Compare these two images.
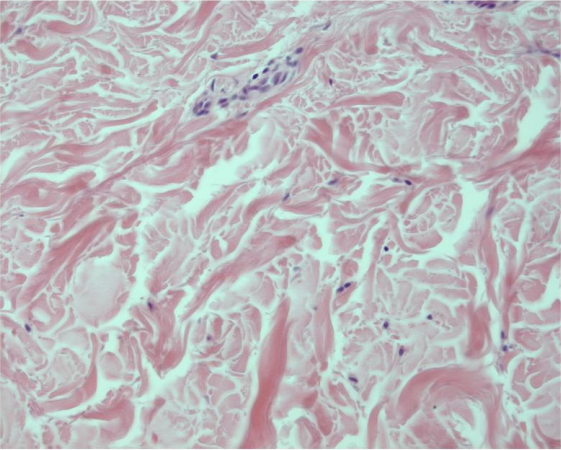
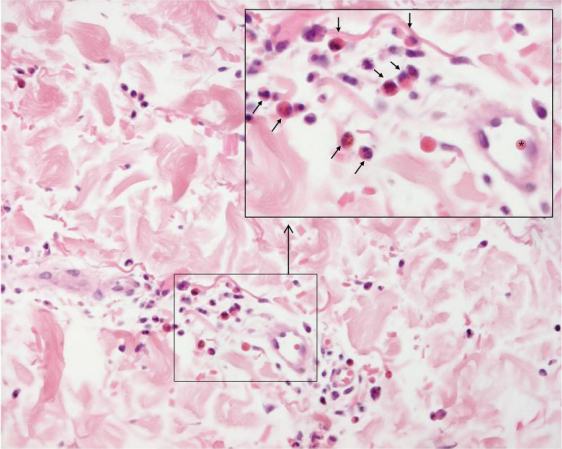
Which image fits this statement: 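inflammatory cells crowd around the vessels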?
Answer: The second image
